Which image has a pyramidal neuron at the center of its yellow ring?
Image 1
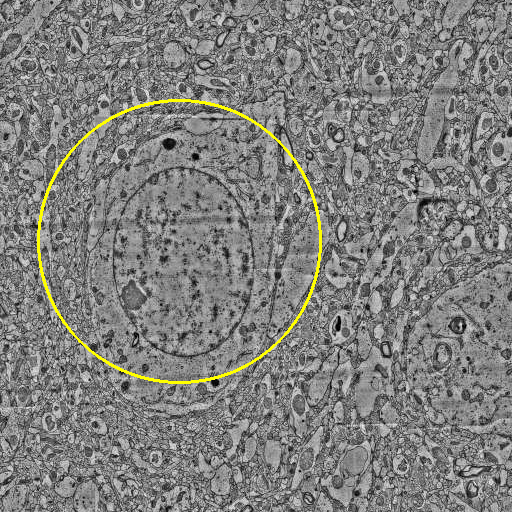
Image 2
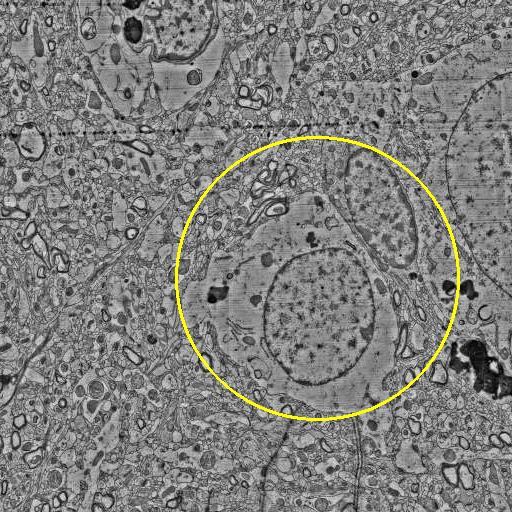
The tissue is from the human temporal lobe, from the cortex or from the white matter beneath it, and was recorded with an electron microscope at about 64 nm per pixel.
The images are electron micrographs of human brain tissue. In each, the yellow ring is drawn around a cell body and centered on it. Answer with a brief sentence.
It is at the center of the ring in Image 1.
